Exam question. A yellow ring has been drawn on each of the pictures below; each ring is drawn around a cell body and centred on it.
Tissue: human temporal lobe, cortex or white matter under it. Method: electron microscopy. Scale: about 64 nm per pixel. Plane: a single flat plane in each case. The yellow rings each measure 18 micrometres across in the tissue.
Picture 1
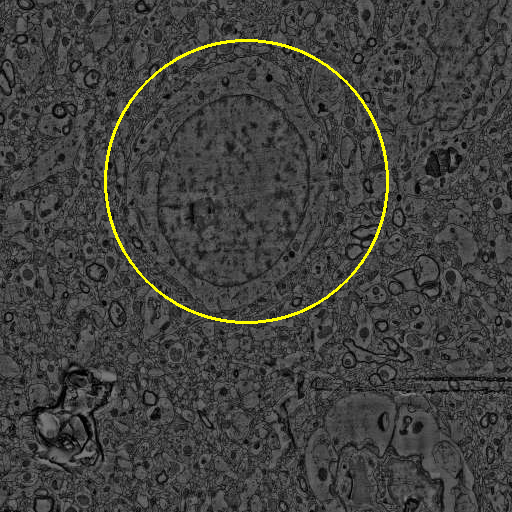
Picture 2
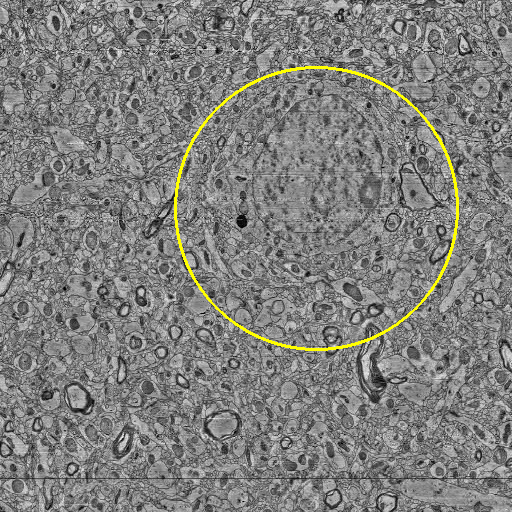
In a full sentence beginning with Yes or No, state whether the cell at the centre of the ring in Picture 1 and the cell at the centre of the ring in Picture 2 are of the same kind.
Yes, the two cells are of the same kind.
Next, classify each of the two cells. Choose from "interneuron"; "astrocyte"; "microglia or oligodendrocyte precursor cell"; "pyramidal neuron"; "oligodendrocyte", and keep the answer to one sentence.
The first and the second cell are each an interneuron.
